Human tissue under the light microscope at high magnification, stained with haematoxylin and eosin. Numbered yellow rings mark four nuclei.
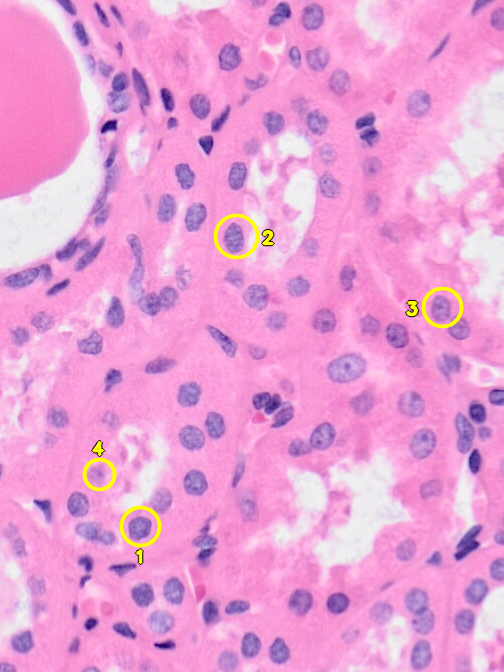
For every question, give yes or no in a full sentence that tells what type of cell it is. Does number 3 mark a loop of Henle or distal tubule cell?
No, cell 3 is not a loop of Henle or distal tubule cell, but is instead a proximal tubule cell.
